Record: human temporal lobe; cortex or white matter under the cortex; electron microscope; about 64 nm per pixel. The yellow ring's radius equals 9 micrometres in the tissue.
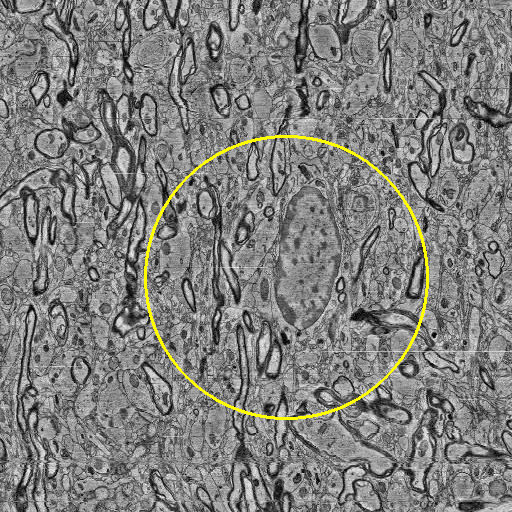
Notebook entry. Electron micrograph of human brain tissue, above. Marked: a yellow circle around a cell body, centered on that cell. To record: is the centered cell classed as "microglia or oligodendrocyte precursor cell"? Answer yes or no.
Yes, the centered cell is classed that way.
